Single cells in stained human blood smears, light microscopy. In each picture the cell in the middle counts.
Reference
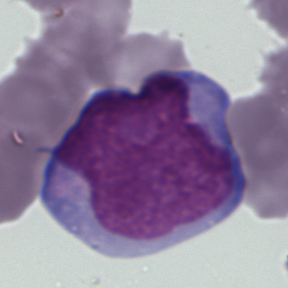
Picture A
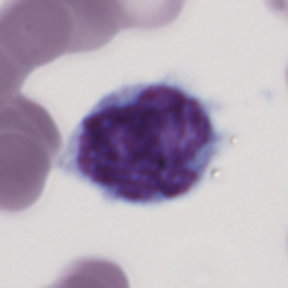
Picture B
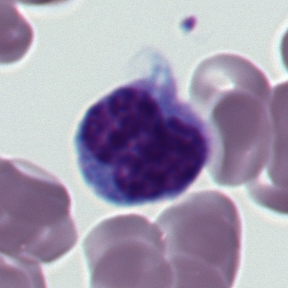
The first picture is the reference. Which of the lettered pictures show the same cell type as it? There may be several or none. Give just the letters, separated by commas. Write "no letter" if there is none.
no letter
